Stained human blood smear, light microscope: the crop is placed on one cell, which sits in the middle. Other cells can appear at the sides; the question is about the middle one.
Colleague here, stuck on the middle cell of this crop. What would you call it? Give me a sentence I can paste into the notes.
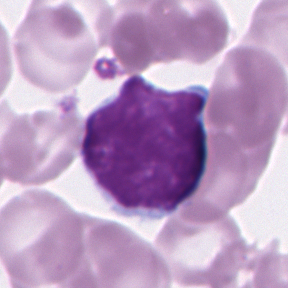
In the crop, the cell of interest at the centre is a typical lymphocyte.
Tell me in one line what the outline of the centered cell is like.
Along the periphery, ragged stretches or projections make the outline irregular.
